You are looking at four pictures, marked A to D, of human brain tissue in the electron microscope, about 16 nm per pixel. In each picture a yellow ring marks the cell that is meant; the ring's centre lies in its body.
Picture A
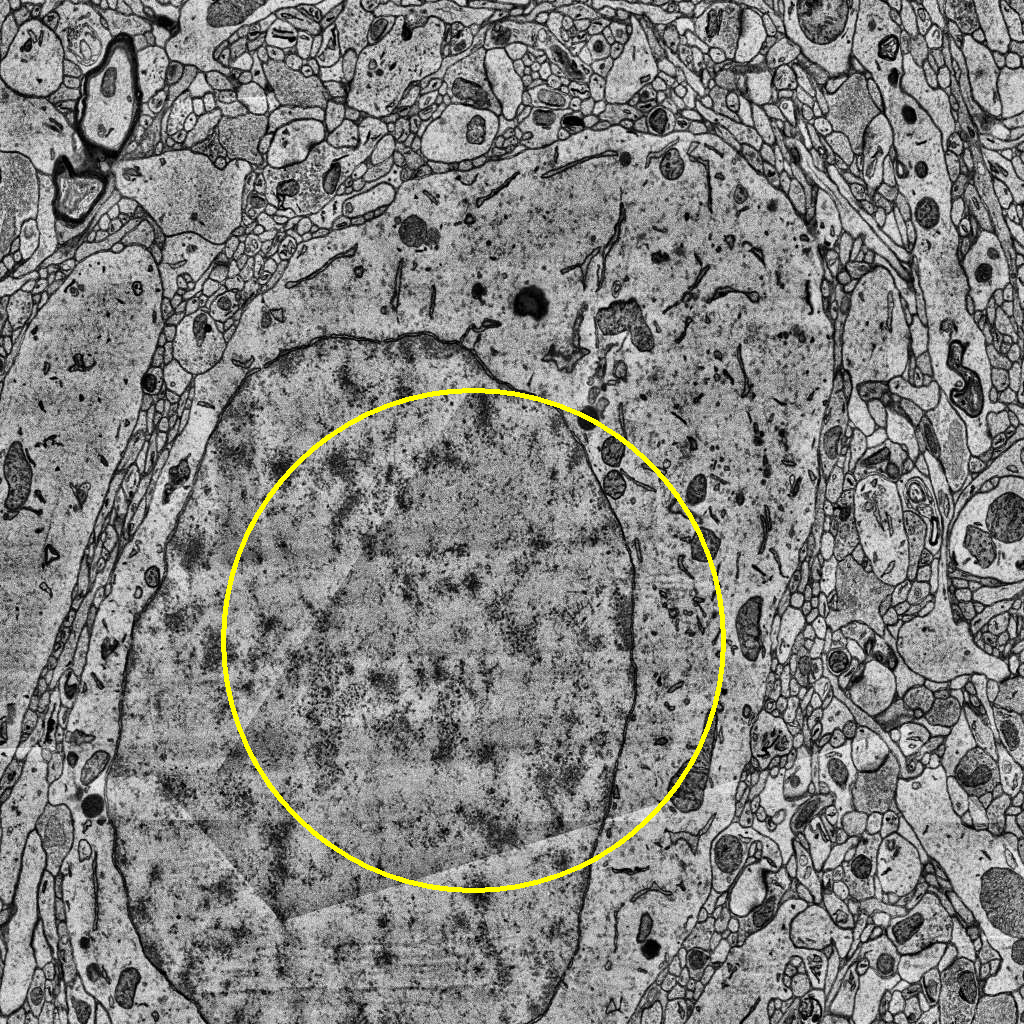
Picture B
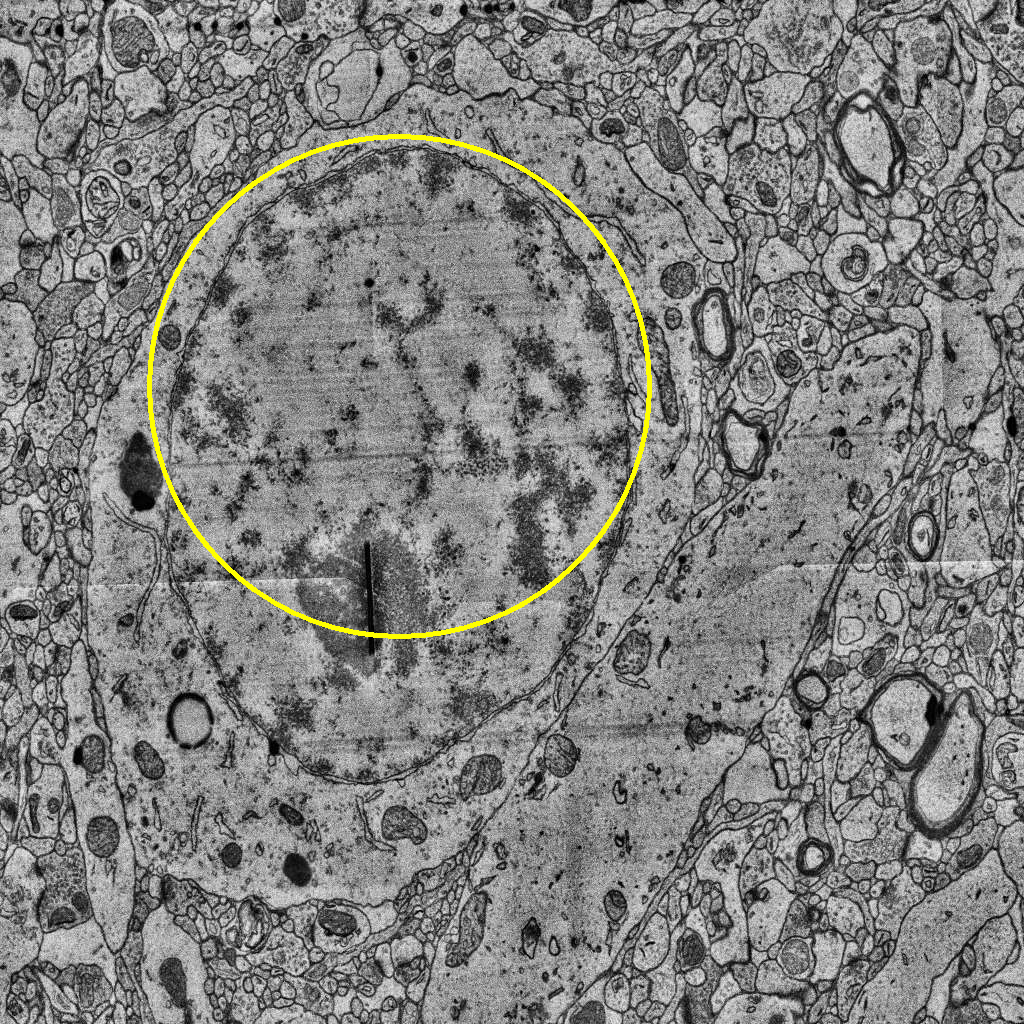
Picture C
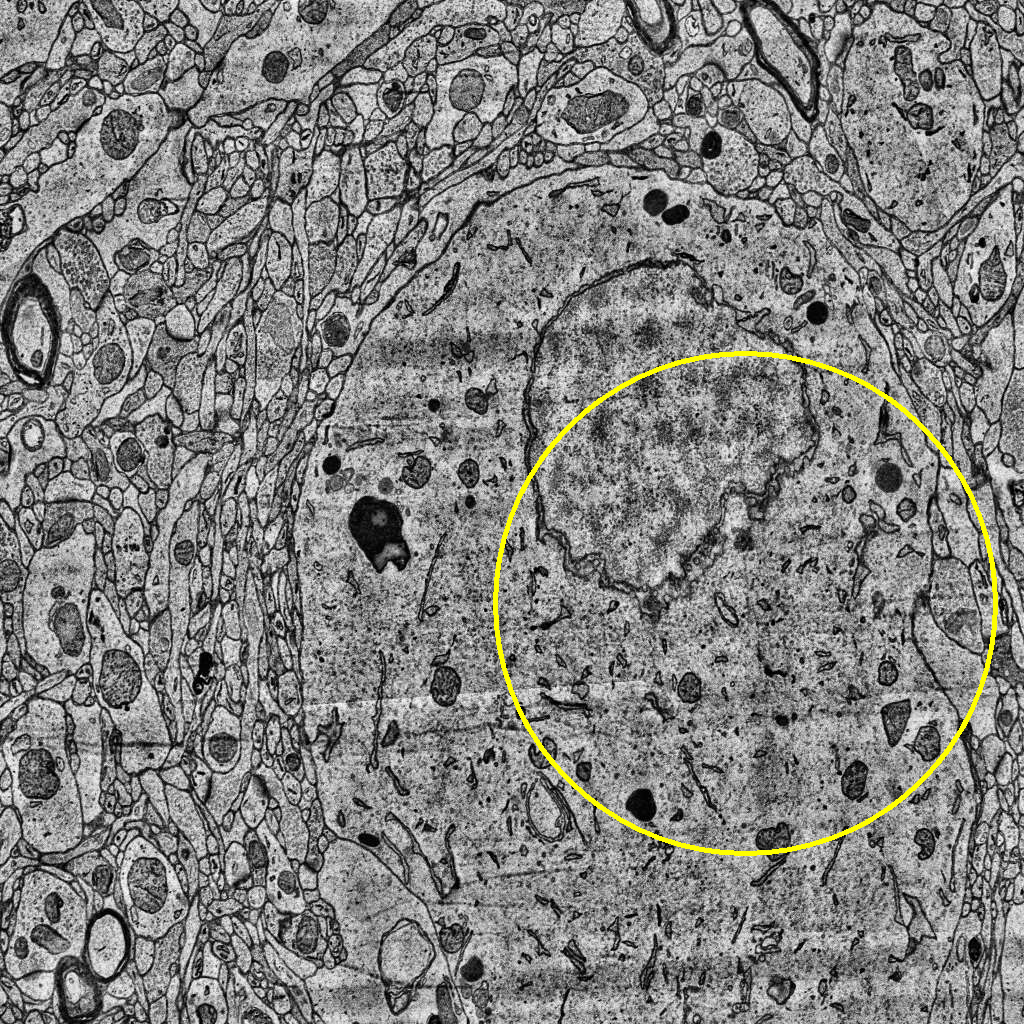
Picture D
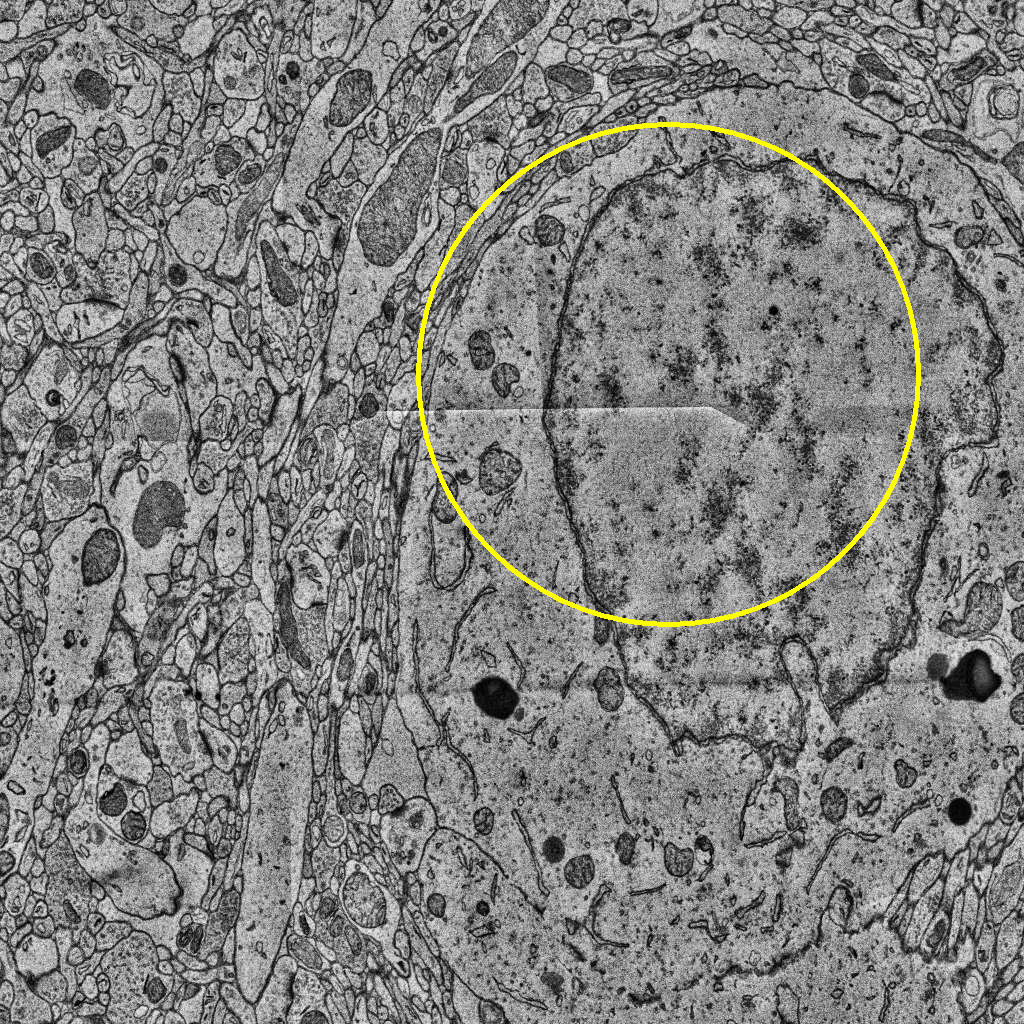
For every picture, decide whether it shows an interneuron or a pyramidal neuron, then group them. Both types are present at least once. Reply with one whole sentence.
Picture B shows an interneuron; pictures A, C and D show pyramidal neurons.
